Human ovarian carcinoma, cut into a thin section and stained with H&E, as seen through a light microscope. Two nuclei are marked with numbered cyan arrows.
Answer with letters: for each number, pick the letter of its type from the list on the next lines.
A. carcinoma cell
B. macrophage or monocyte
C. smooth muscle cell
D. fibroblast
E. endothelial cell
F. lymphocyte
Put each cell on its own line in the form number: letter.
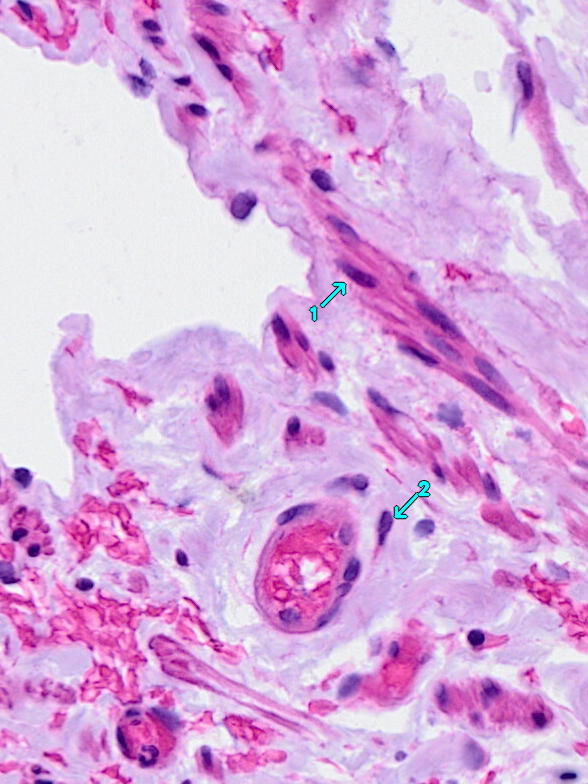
1: C
2: D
